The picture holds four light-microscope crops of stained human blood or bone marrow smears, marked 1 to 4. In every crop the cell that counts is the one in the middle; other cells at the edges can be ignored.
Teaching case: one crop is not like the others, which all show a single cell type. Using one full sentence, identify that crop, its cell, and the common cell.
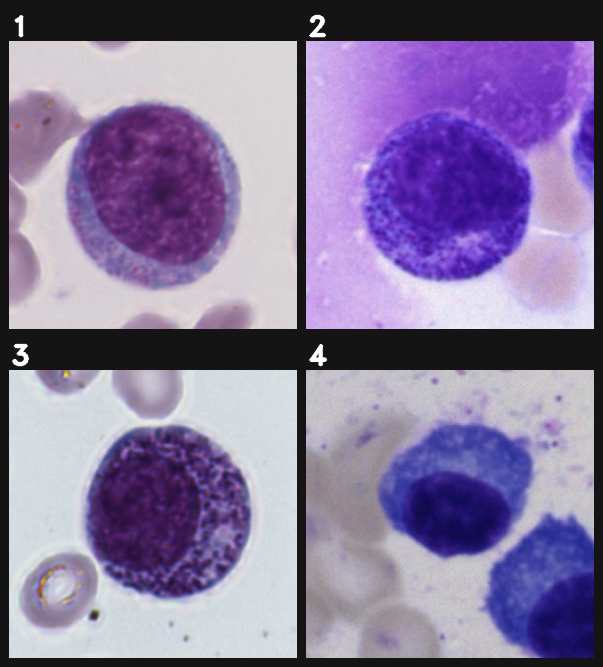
Although the other crops all show promyelocytes, crop 4 shows a plasma cell.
